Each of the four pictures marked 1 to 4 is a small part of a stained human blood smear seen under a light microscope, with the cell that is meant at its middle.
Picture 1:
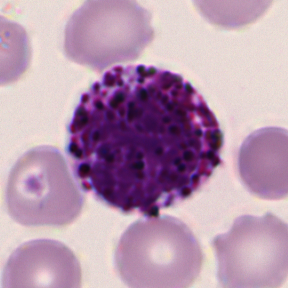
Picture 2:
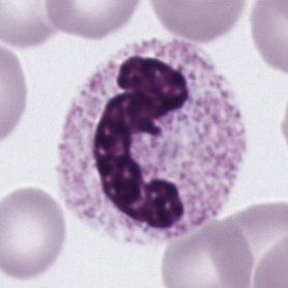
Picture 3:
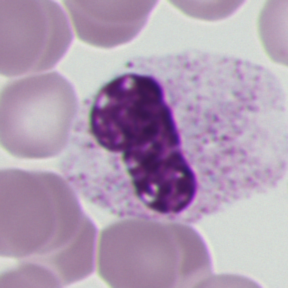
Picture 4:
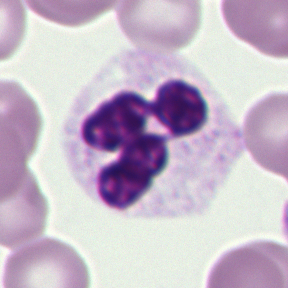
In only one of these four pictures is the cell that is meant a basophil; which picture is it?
1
